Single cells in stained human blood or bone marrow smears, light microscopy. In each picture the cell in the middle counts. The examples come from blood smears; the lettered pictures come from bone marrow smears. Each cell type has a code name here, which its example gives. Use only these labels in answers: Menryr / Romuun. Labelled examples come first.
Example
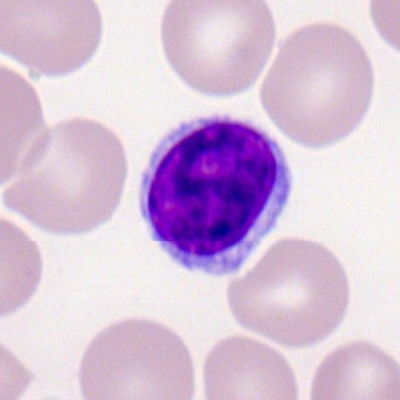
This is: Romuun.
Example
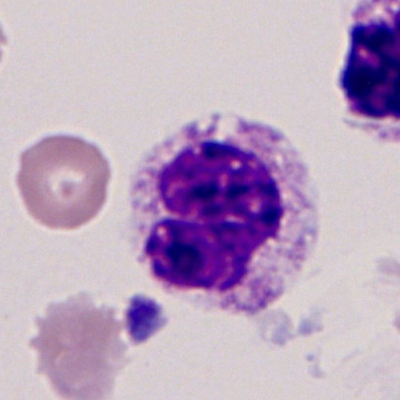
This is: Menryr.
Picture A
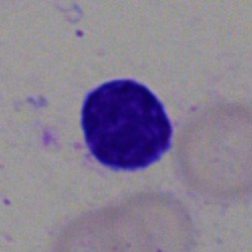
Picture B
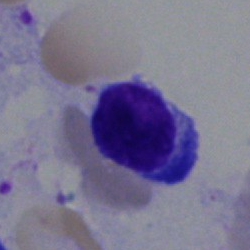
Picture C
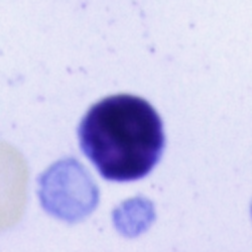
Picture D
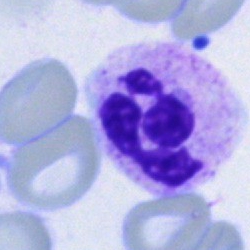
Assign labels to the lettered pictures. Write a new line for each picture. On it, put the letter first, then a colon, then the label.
A: Romuun.
B: Romuun.
C: Romuun.
D: Menryr.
